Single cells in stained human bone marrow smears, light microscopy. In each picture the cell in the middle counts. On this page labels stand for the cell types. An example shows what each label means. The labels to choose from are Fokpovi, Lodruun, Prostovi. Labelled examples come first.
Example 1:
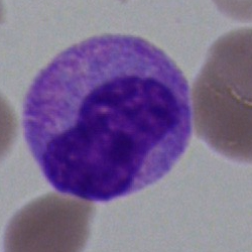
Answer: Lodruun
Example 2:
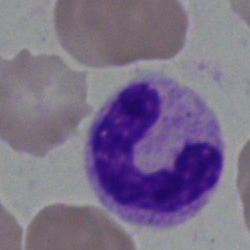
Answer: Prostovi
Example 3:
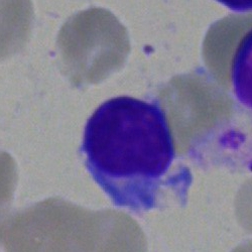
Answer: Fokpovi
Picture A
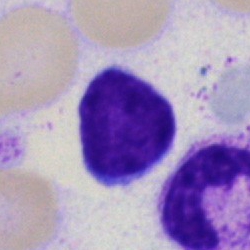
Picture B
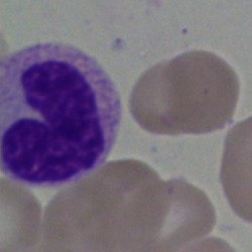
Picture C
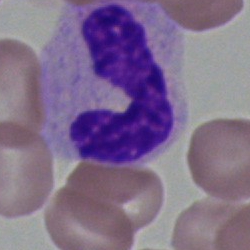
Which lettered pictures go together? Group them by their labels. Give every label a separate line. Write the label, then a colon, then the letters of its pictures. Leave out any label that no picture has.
Fokpovi: A
Lodruun: B
Prostovi: C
